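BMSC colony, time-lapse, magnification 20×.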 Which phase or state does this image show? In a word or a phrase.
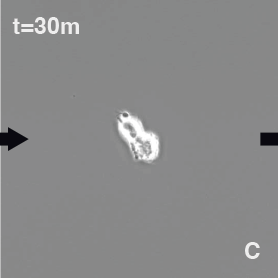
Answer: The two daughter cells still have a spherical shape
